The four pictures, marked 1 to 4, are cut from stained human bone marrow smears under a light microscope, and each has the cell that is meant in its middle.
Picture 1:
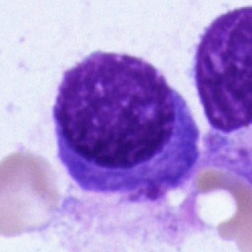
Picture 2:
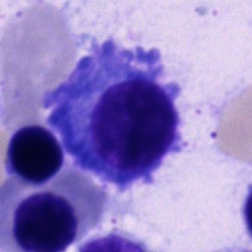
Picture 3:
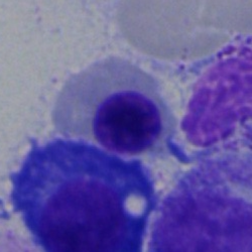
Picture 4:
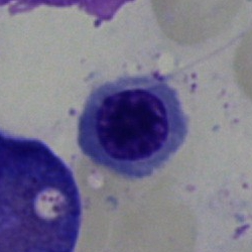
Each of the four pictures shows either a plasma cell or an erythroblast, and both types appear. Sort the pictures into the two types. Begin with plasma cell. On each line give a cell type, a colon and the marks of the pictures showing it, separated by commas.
plasma cell: 1, 2
erythroblast: 3, 4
